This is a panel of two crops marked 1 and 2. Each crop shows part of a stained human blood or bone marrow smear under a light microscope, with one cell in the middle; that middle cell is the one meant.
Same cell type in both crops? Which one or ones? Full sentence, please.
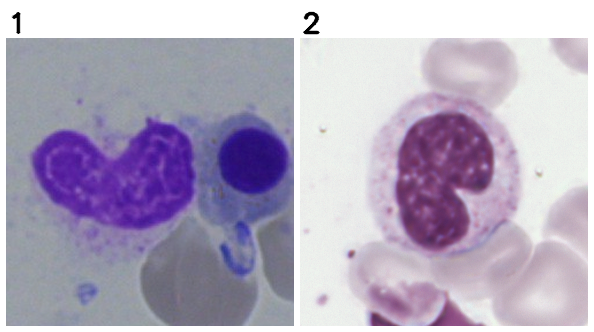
No, just to correct that: crop 1 shows a metamyelocyte, crop 2 shows a band neutrophil.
